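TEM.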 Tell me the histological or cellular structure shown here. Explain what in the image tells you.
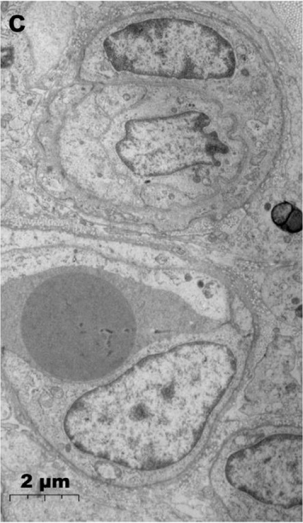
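Microvessels. Small vessel profiles with thin walls formed by flattened cells with nuclei. One lumen holds a round homogeneous dense body.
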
